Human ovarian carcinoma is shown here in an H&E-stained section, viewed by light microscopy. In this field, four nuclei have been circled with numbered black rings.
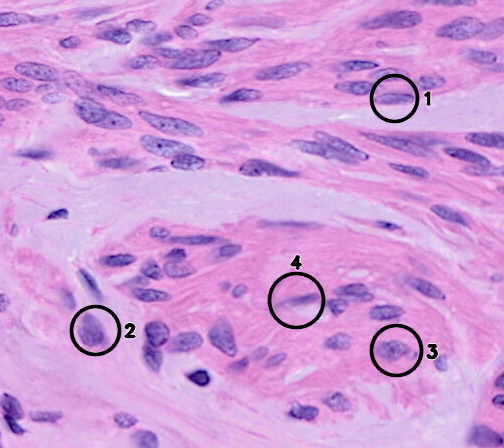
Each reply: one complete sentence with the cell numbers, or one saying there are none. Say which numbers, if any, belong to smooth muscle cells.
The cells assigned the numbers 1, 3 and 4 are smooth muscle cells.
